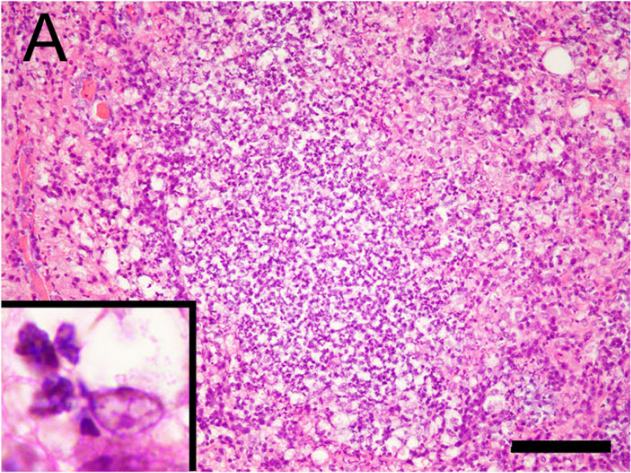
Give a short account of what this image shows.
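This is a highly cellular inflammatory mass made of a mixture of neutrophils, macrophages and lymphocytes. The centre is crowded with small cells whose nuclei stain dark purple and are compact, some lobed into several segments. Around them lie larger cells with pale, bubbly, vacuolated cytoplasm and rounder, lighter nuclei. At the upper left edge pink fibrous tissue and a few small vessels border the cell mass. The enlarged inset shows lobed dark nuclei lying next to a larger oval, paler nucleus.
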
